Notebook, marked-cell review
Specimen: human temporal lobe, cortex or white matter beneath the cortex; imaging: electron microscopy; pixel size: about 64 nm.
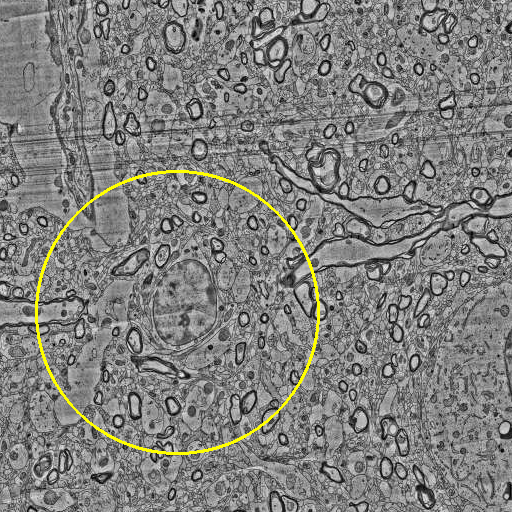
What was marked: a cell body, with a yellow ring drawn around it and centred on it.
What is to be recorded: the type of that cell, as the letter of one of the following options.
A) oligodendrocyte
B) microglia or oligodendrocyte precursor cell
B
